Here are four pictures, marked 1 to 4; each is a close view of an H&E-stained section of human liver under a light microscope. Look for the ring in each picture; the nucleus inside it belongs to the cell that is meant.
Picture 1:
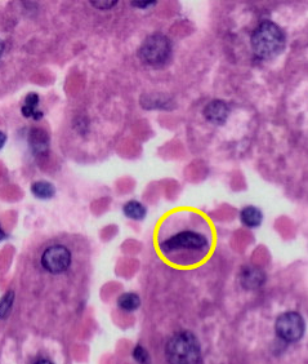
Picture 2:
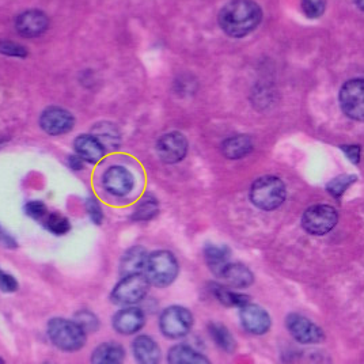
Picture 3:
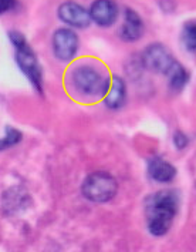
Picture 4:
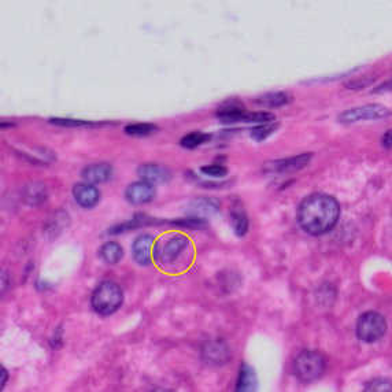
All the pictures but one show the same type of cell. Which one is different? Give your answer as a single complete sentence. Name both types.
The others show cholangiocytes, but picture 1 shows a “fibroblast or stellate cell”.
